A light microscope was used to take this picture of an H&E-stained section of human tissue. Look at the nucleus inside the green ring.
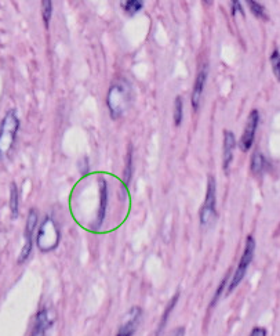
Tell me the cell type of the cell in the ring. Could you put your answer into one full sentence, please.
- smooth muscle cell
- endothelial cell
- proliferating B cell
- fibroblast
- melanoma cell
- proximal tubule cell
Labelled by cell type, the cell in the ring is a fibroblast.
